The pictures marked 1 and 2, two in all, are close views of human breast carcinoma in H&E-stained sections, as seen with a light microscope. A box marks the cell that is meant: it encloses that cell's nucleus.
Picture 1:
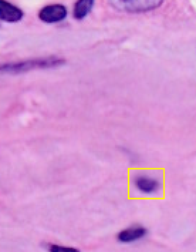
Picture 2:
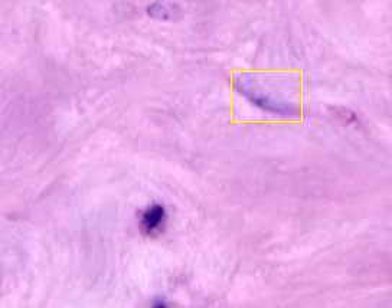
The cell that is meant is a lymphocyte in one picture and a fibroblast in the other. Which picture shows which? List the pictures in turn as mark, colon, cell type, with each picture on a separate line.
1: lymphocyte
2: fibroblast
